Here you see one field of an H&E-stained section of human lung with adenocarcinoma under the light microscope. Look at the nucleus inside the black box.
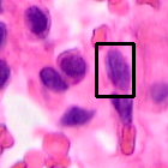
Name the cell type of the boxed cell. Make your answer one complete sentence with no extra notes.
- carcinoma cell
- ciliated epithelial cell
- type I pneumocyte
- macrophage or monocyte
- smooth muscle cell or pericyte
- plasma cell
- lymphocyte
As classified here, the boxed cell is a type I pneumocyte.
